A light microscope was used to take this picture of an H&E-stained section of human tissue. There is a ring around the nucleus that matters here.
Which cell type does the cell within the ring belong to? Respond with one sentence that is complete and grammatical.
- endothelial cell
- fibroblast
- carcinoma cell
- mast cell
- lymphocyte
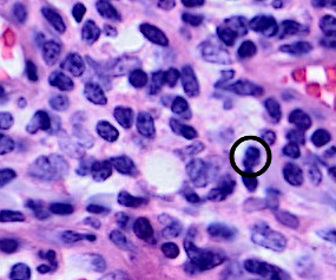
By its classification, the cell within the ring is a lymphocyte.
